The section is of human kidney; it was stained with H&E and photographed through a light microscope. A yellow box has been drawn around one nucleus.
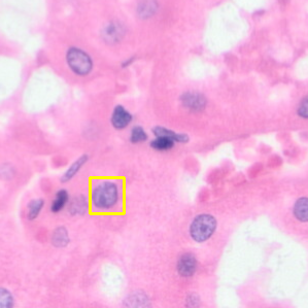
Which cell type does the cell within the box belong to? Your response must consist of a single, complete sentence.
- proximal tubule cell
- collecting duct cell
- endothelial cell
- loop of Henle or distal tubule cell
In the tissue under study, the cell within the box is a proximal tubule cell.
